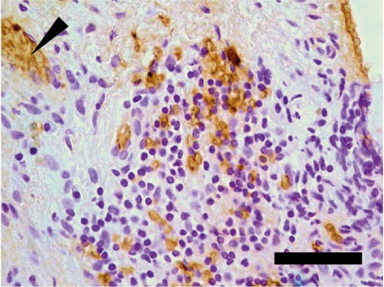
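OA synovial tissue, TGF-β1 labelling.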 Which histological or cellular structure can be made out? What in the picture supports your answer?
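Lymphocyte aggregate. A dense cluster of small round dark purple nuclei. Little cytoplasm around each nucleus. Some cells within the cluster are brown.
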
